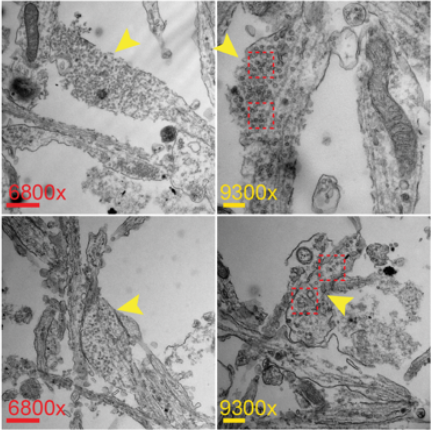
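These are thin-section electron micrographs of cultured neurons with neurites running across the field. Several neurite profiles are swollen into terminals crowded with small round synaptic vesicles, lying beside elongated mitochondria with visible cristae in neighbouring processes.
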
